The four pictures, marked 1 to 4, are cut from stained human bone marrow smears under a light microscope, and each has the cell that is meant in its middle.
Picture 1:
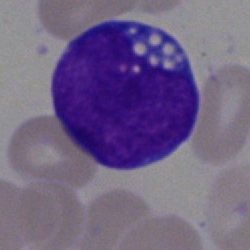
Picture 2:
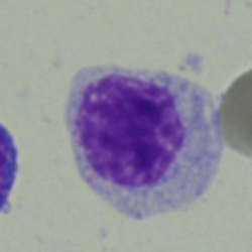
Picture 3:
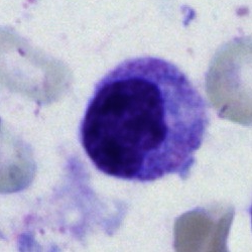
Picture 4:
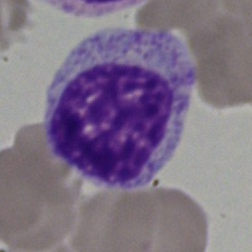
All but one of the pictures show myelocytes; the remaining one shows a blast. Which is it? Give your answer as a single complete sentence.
It is picture 1 that shows the blast.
